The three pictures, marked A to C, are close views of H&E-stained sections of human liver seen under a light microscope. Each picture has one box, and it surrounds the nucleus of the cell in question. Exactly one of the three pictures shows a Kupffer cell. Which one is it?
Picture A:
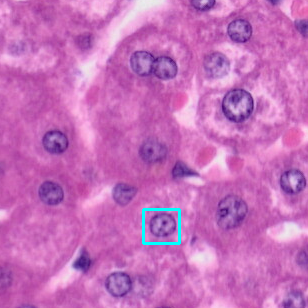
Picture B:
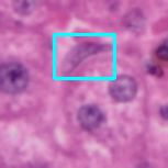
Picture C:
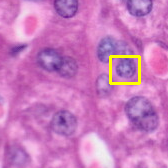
B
